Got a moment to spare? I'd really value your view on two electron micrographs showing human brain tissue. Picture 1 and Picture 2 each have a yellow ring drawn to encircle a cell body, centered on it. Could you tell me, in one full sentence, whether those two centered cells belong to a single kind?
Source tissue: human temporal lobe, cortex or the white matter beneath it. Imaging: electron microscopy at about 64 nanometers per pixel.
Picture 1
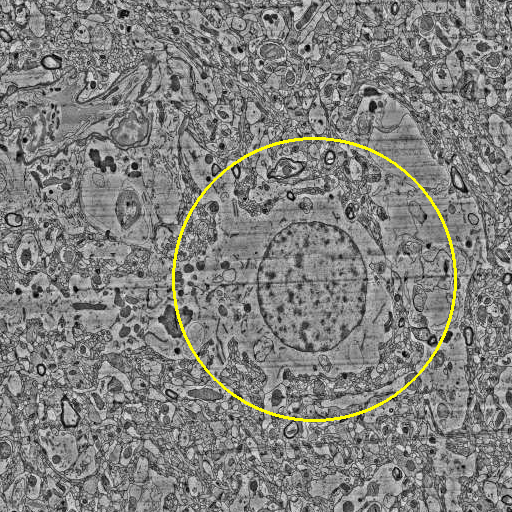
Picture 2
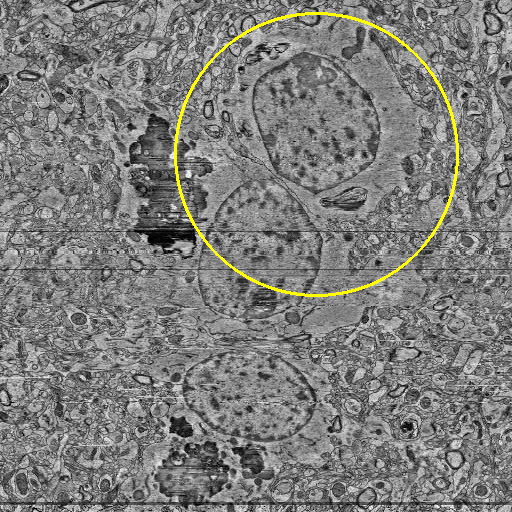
Yes, the two centered cells in Picture 1 and Picture 2 are of a single kind.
